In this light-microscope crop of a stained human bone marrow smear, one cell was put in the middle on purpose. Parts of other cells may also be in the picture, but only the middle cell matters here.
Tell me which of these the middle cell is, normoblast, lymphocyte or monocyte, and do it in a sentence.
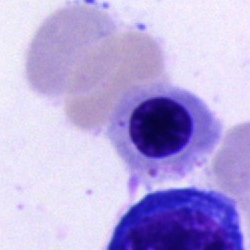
The cell featured at the centre of this crop is a normoblast.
